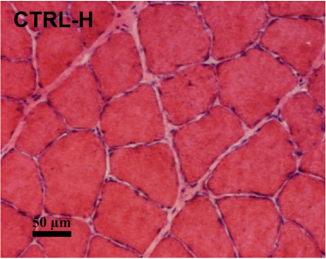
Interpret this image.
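Cross-section of skeletal muscle with large polygonal muscle fibers whose cytoplasm stains uniformly deep pink. Dark purple nuclei are placed at the fiber edges. Thin pale connective tissue septa outline each fiber, and fewer fibers fill the field than in a normal-sized muscle at this magnification.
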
